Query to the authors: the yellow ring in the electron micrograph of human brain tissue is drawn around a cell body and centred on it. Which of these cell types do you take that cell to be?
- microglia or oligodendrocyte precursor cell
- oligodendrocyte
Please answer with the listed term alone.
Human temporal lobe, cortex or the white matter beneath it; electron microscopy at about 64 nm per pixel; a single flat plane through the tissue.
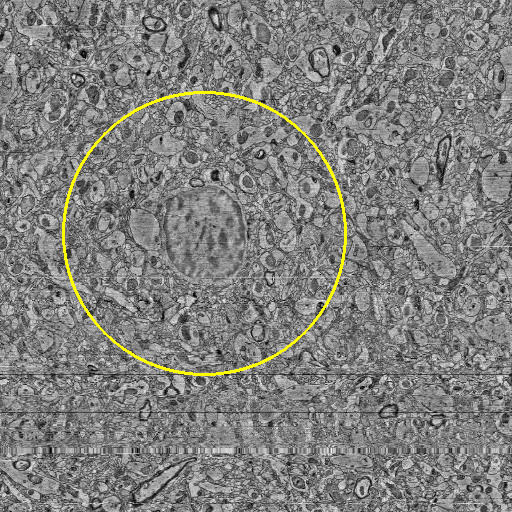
oligodendrocyte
